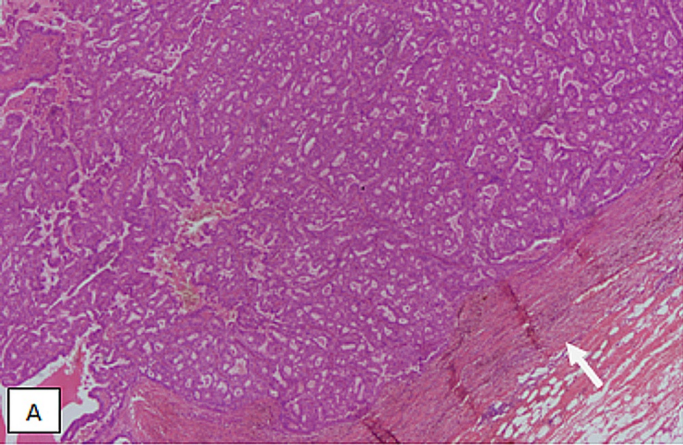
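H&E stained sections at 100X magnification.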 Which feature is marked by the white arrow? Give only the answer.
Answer: fibrous capsule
